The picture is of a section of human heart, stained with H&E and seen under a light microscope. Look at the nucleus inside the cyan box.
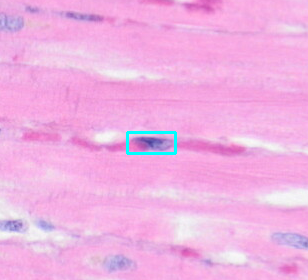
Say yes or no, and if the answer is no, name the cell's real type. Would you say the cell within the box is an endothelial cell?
Yes.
